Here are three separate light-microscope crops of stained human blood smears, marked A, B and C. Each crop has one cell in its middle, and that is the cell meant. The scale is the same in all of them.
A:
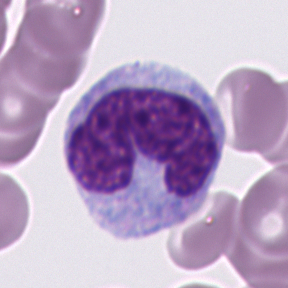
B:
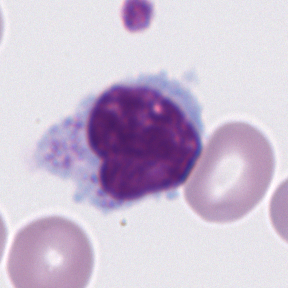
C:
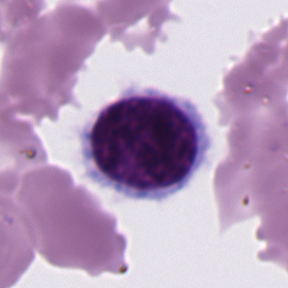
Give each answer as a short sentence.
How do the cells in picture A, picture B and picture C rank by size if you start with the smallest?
Smallest first: C, B, A.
